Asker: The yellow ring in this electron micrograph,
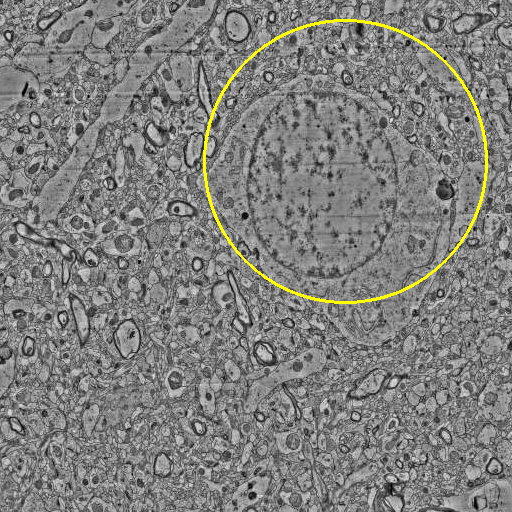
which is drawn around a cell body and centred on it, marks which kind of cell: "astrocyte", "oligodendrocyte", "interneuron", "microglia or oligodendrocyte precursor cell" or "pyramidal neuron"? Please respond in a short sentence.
The marked cell is an interneuron.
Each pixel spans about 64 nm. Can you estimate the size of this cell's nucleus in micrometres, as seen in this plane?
The nucleus has a long axis of about 12 micrometres and a short axis of about 10 micrometres in this plane.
